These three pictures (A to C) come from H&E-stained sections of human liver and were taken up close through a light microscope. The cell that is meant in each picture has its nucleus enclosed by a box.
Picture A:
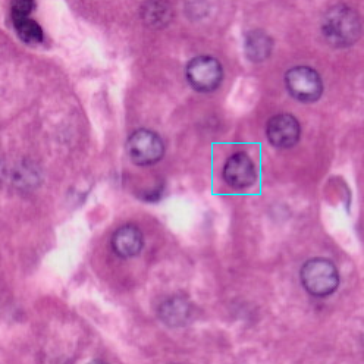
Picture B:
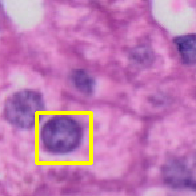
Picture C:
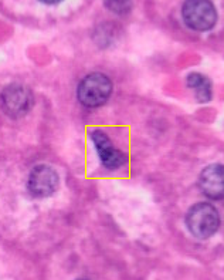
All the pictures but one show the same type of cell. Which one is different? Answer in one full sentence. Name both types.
The different one is picture C; it shows a “fibroblast or stellate cell”, whereas all the others show hepatocytes.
